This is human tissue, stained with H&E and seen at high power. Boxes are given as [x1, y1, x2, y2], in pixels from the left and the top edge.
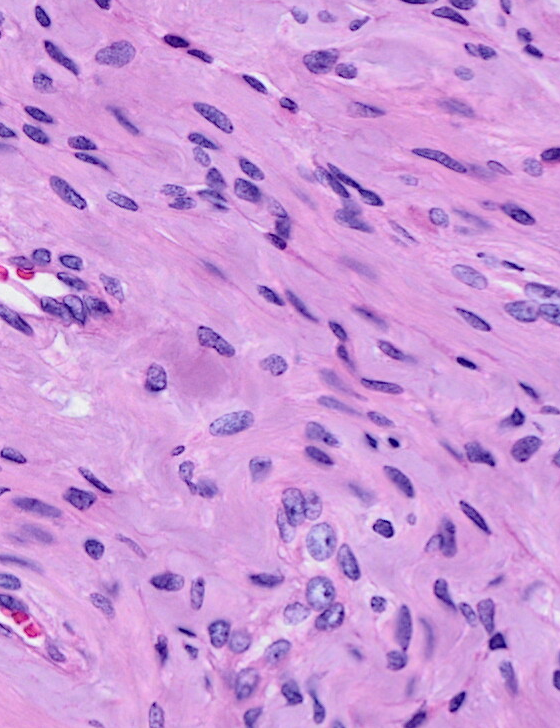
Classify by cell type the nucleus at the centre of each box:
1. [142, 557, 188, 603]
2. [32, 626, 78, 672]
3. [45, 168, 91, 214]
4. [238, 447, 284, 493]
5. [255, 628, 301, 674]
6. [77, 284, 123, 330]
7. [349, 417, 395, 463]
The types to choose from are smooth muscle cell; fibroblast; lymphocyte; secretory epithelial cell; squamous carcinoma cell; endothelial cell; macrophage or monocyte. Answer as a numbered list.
1. fibroblast
2. endothelial cell
3. fibroblast
4. fibroblast
5. endothelial cell
6. endothelial cell
7. fibroblast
